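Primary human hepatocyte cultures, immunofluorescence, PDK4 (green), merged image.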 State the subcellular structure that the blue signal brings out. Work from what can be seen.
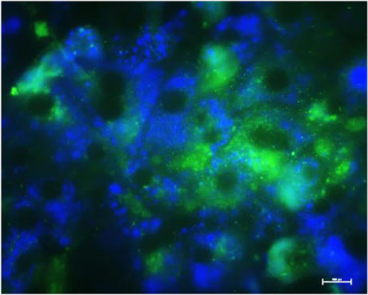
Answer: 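Lipid droplets. Dark round nuclear spaces are surrounded by the blue droplets.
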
